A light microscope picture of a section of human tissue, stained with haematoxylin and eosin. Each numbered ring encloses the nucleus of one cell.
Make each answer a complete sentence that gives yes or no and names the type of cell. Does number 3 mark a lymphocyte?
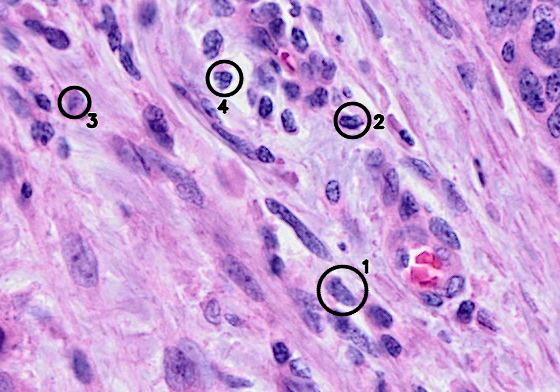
No, the cell labelled 3 is a macrophage or monocyte and not a lymphocyte.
